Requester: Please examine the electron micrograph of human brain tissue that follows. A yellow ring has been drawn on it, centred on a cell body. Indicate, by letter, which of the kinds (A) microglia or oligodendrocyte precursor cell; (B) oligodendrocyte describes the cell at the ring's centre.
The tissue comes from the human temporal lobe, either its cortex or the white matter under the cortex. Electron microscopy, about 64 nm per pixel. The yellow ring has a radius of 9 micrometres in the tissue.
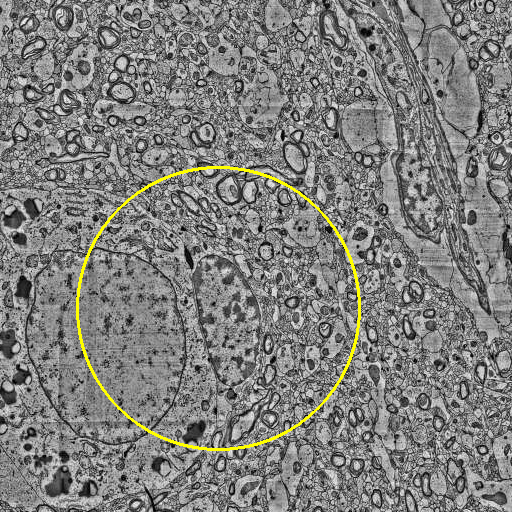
A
